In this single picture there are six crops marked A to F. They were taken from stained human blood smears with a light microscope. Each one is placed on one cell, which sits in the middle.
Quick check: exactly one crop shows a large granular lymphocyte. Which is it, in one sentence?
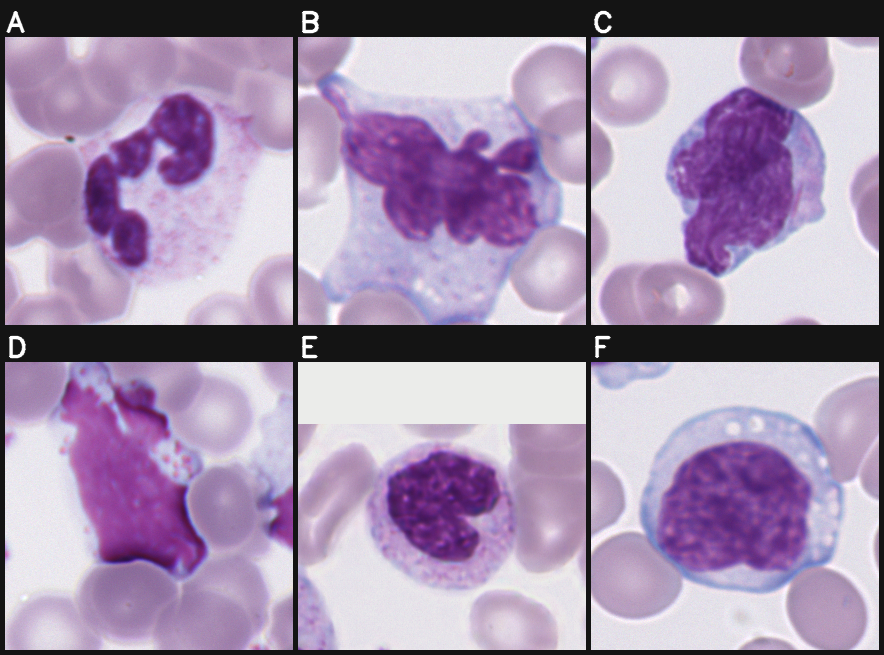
The one crop that shows a large granular lymphocyte is crop D.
